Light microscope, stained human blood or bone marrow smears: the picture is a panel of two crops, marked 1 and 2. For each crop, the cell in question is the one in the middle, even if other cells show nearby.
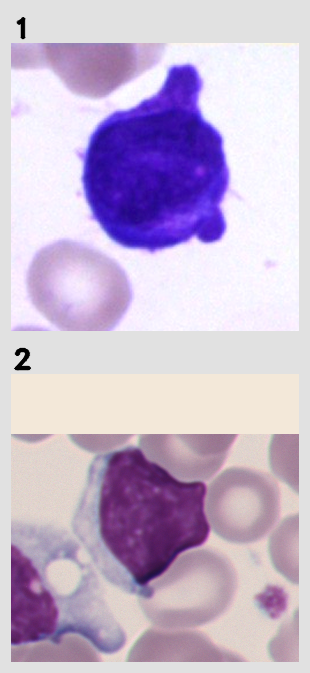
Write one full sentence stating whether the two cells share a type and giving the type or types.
No, the cell at the middle of crop 1 is a blast, while crop 2 centres on a lymphocyte.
